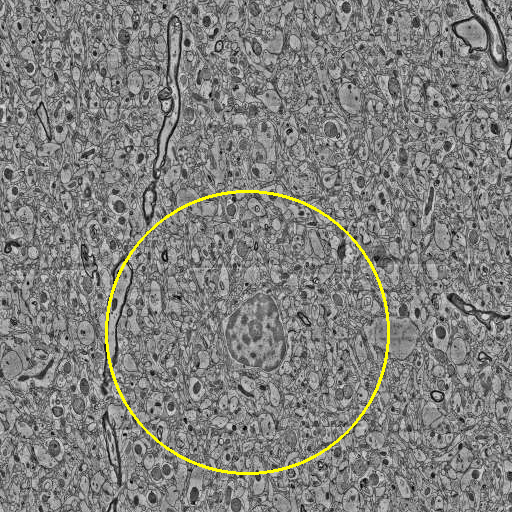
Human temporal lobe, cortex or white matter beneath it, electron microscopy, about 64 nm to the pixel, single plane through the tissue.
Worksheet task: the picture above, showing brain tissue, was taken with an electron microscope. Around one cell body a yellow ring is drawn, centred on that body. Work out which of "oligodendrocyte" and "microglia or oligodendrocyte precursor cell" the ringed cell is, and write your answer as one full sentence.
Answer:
It is a microglial cell or oligodendrocyte precursor cell whose cell body lies at the centre of the yellow ring.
